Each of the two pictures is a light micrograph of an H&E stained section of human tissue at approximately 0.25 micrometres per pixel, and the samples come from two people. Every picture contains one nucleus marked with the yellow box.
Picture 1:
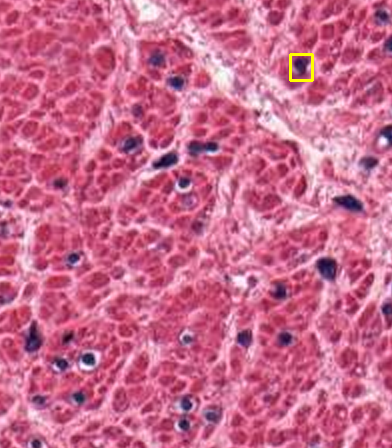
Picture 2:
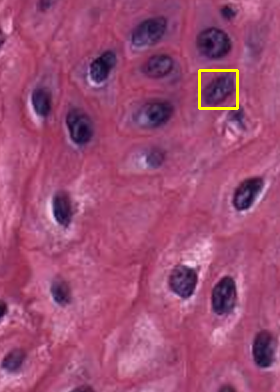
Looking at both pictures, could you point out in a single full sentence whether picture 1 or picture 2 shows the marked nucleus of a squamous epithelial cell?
While the marked nucleus in picture 2 belongs to a squamous epithelial cell, the one in the other picture does not.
